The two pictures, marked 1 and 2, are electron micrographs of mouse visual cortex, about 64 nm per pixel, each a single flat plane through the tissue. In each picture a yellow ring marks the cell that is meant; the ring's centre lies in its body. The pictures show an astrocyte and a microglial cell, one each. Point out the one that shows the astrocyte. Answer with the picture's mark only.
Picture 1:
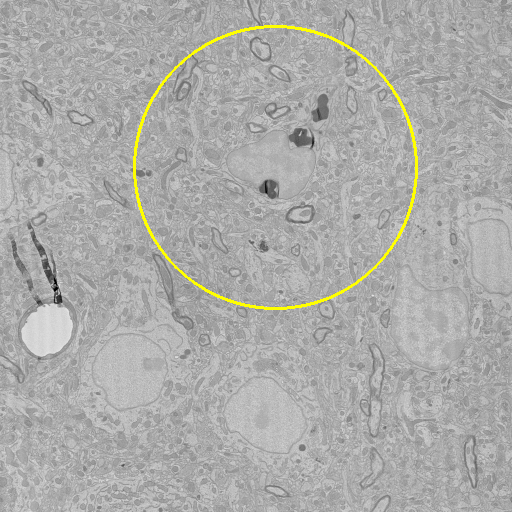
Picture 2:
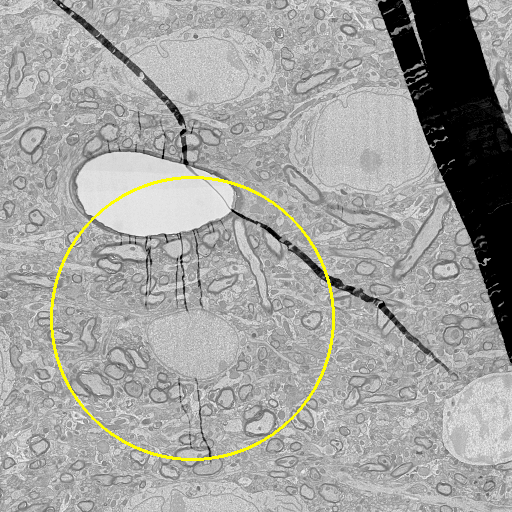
2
